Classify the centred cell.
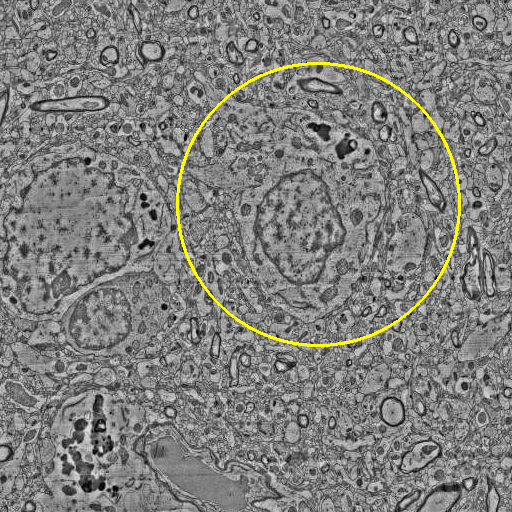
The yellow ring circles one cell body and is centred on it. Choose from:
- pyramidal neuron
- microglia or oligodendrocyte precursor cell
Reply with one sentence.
The ring is centred on a pyramidal neuron.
